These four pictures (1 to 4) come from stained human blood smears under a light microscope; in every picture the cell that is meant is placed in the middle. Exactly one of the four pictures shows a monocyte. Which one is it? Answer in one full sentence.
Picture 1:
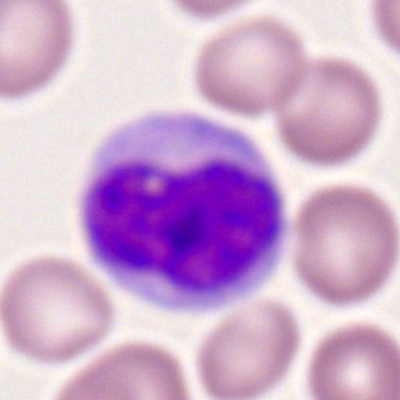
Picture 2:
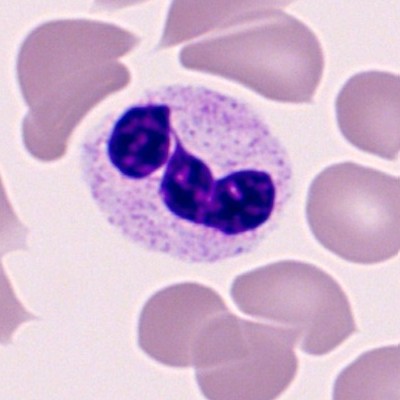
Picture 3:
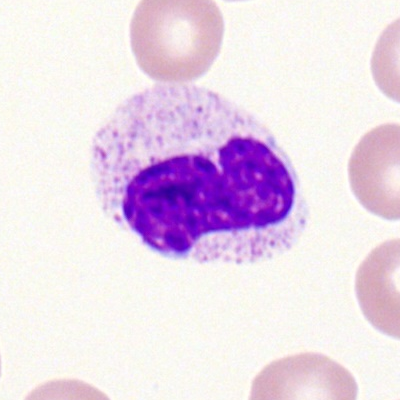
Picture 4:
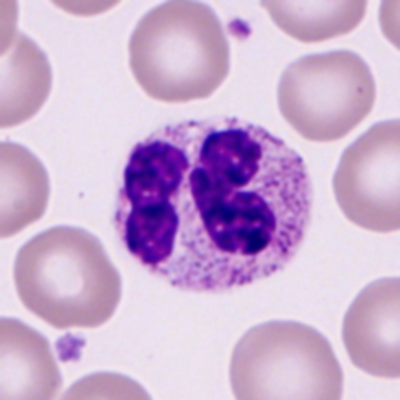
The picture with the monocyte is 1.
